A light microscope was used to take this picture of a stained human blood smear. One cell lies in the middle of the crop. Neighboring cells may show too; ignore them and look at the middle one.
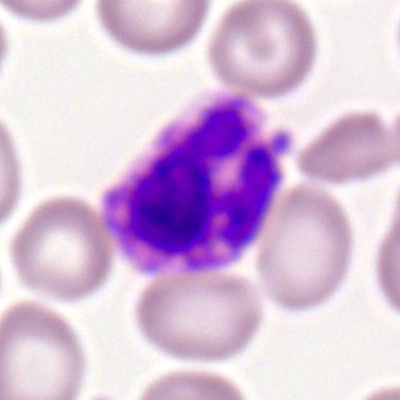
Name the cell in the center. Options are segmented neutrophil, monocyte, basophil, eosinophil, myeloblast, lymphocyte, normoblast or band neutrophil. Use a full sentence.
Regarding the central cell, it is a basophil.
